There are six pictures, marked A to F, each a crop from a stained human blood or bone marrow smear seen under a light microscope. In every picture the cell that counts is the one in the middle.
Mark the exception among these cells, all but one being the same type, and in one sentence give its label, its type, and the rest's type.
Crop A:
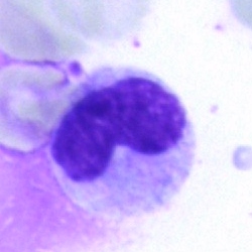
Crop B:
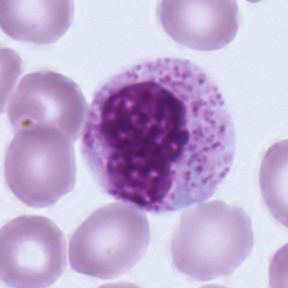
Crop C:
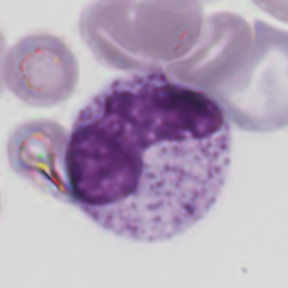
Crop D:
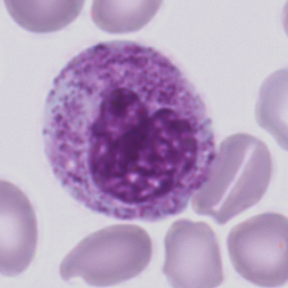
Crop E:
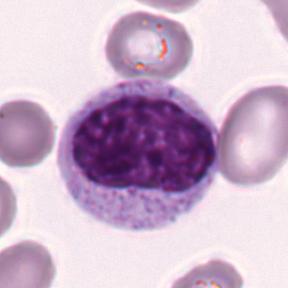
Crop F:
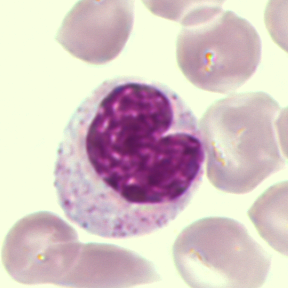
The different crop is E; it is a metamyelocyte, and the others all show band neutrophils.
